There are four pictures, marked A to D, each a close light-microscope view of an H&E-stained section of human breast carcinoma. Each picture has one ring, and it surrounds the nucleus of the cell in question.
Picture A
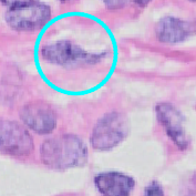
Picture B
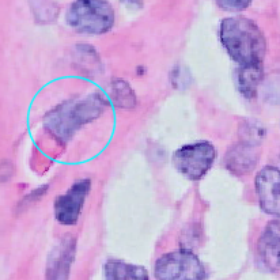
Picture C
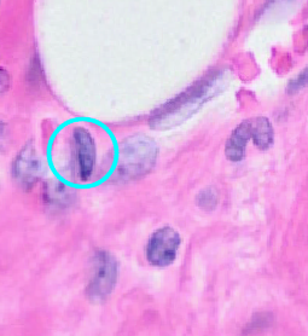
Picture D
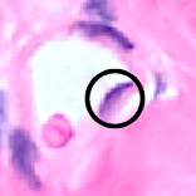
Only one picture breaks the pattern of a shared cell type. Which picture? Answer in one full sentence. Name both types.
The others show endothelial cells, but picture A shows a fibroblast.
